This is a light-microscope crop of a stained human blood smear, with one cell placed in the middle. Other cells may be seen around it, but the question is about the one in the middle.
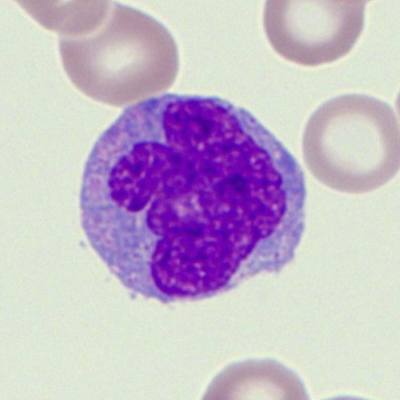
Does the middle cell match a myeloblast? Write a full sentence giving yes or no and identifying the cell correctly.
No, it isn't a myeloblast; what sits in the middle is a monocyte.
